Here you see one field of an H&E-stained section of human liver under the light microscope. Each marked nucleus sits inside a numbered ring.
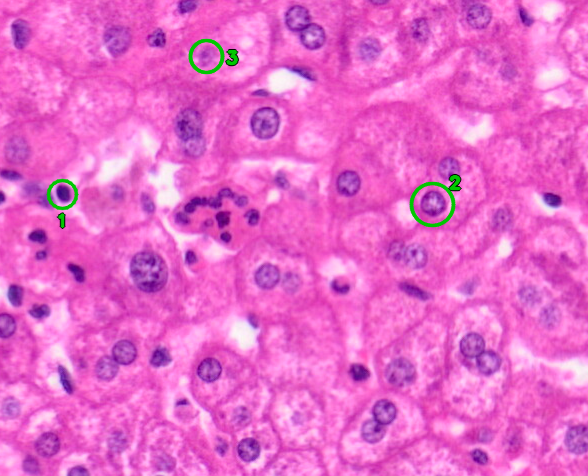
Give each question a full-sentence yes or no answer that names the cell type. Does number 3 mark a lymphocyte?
No, the cell tagged 3 is a hepatocyte, and not a lymphocyte.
